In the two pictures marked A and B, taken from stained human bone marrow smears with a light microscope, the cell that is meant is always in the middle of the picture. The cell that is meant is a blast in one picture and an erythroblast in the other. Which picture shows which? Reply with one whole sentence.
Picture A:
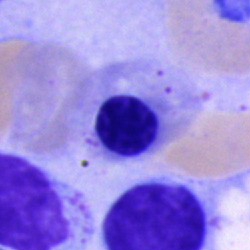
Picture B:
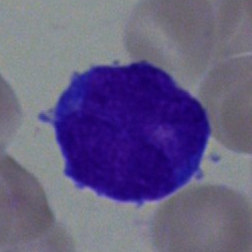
Picture A is of an erythroblast, and picture B is of a blast.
